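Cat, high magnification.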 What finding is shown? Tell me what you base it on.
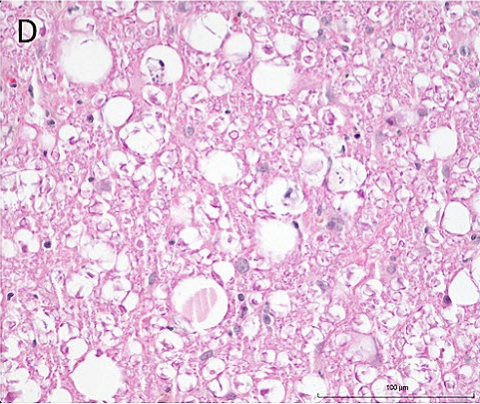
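Clear round spaces contain small fragments of pink or purple material. Some spaces hold cells with dark nuclei. The answer: digestion chambers.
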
